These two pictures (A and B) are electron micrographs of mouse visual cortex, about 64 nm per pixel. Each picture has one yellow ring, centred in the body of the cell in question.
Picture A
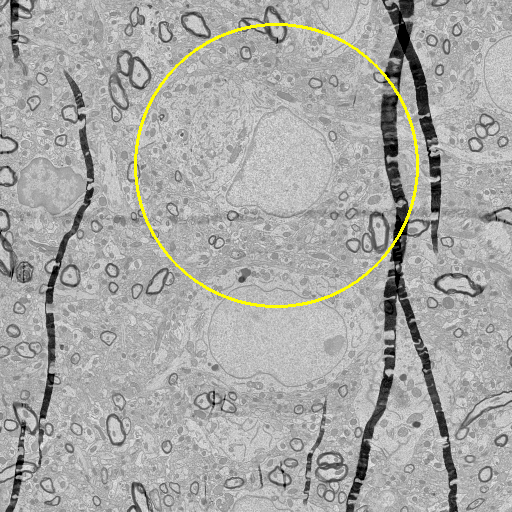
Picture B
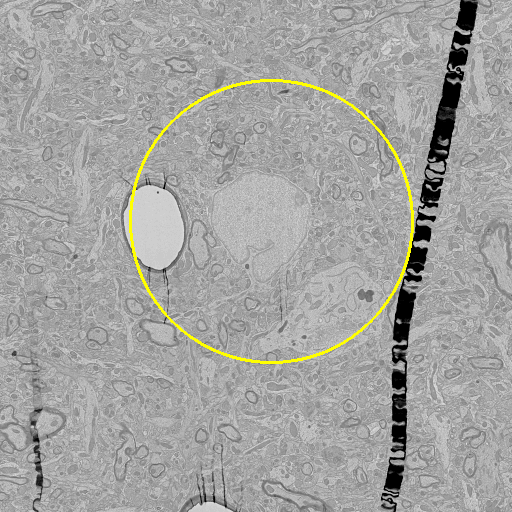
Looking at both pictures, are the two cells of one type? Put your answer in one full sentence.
Yes, they are the same type: both are oligodendrocyte precursor cells.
